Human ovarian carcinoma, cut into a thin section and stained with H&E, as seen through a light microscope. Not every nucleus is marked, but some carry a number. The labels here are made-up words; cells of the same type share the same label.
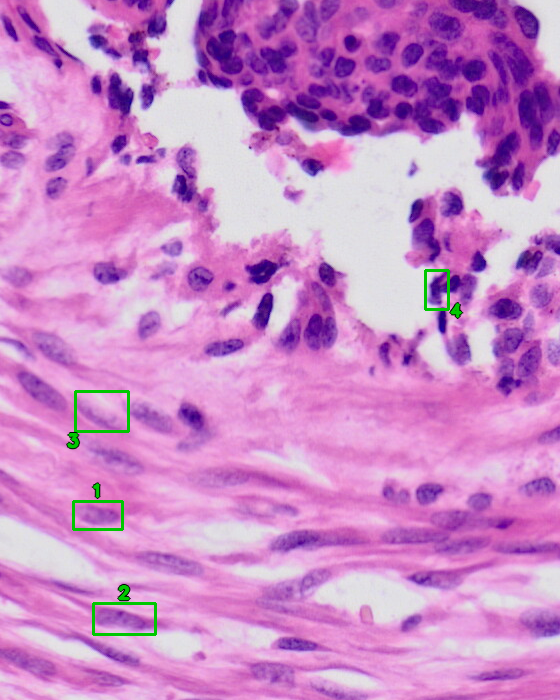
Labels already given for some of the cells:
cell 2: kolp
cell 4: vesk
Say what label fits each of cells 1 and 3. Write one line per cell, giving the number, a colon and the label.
1: kolp
3: kolp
